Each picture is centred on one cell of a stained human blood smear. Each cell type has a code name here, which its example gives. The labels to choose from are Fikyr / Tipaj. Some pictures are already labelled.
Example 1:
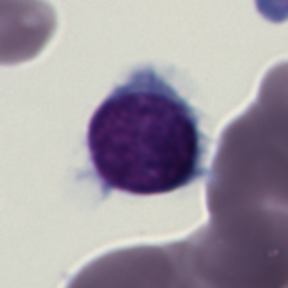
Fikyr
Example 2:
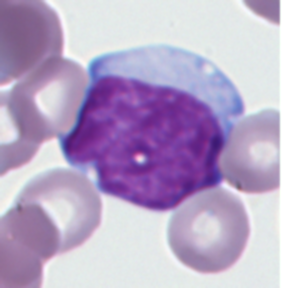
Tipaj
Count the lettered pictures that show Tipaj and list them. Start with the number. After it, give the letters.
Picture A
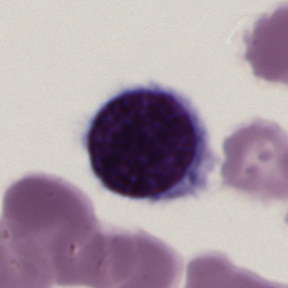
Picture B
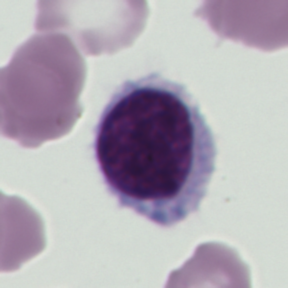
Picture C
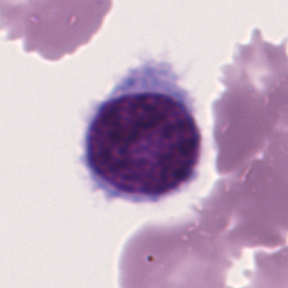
0, none of them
